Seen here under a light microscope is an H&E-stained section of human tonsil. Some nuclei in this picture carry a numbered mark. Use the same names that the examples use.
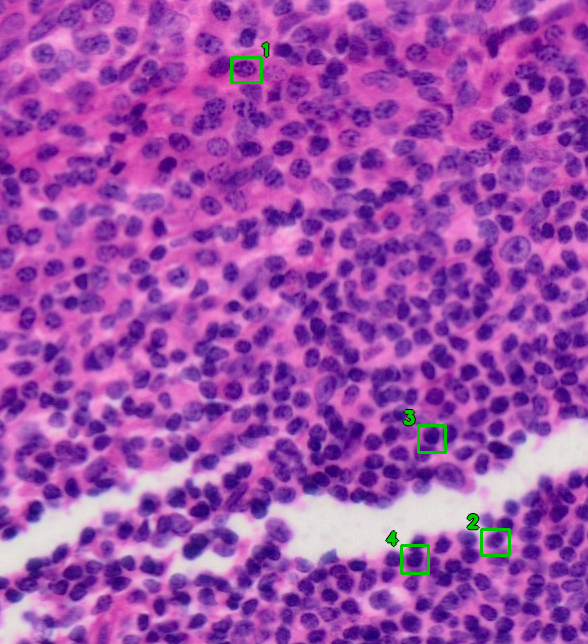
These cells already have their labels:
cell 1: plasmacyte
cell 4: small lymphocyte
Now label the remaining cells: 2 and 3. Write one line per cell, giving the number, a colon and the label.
2: small lymphocyte
3: small lymphocyte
